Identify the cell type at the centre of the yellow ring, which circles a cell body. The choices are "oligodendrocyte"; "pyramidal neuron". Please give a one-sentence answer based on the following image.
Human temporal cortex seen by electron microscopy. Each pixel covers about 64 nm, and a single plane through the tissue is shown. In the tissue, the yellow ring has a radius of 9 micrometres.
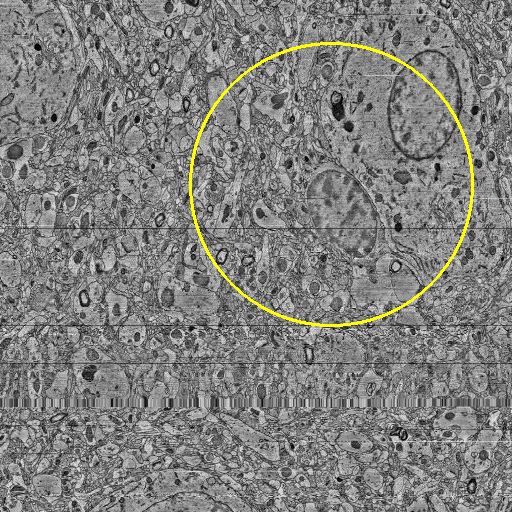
The cell marked by the ring is an oligodendrocyte.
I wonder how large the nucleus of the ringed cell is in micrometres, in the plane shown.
In this plane the nucleus measures roughly 6 by 4 micrometers.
